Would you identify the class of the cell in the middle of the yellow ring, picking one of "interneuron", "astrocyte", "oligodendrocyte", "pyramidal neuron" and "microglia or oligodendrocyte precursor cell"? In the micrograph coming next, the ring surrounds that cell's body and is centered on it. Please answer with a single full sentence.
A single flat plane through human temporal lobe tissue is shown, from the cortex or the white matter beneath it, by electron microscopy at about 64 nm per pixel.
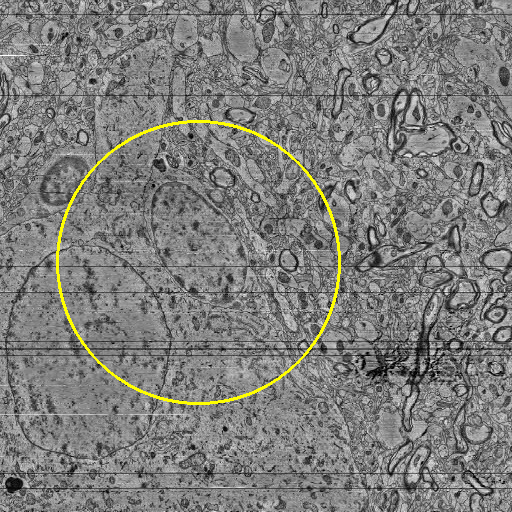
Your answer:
In the micrograph, it is a microglial cell or oligodendrocyte precursor cell whose body lies at the ring's center.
